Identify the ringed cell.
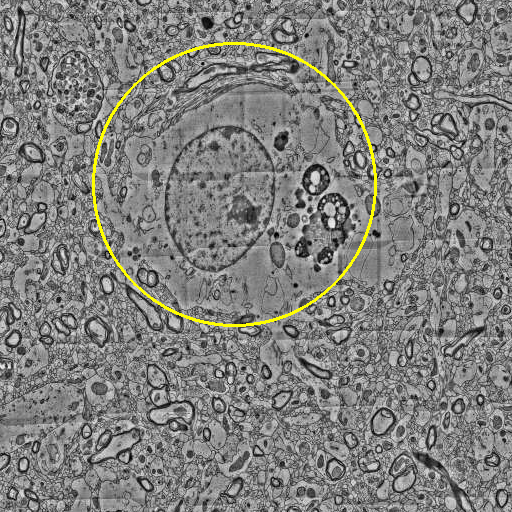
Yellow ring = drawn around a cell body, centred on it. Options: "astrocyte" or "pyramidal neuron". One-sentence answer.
What the ring is centred on is an astrocyte.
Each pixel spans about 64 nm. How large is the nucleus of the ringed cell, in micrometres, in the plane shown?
About 9 micrometres by about 7 micrometres in this plane.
